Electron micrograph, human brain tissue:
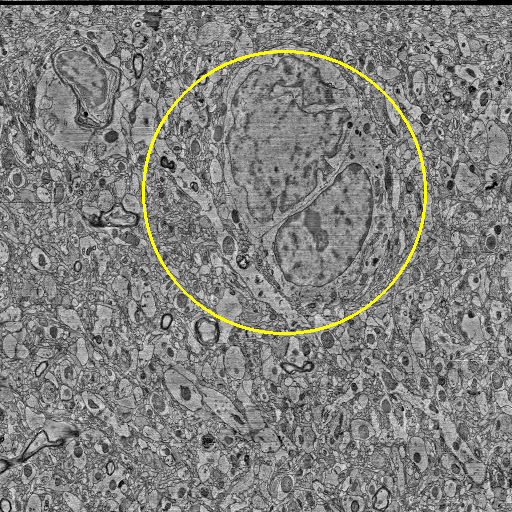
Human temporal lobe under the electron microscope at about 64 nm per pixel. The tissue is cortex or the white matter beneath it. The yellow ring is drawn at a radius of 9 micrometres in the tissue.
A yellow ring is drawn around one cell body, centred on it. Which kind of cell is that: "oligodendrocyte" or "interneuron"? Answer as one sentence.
It is an interneuron at the centre of the ring.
